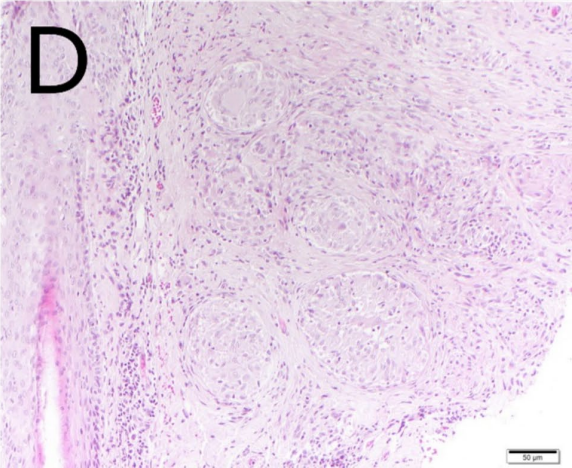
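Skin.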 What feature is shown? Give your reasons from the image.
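Several rounded, well-bounded nodules of pale cells in the dermis. The nodules are made of pale pink cells with oval nuclei. Only a thin rim of small dark nuclei surrounds the nodules. That points to this answer: sarcoidal granulomas.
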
